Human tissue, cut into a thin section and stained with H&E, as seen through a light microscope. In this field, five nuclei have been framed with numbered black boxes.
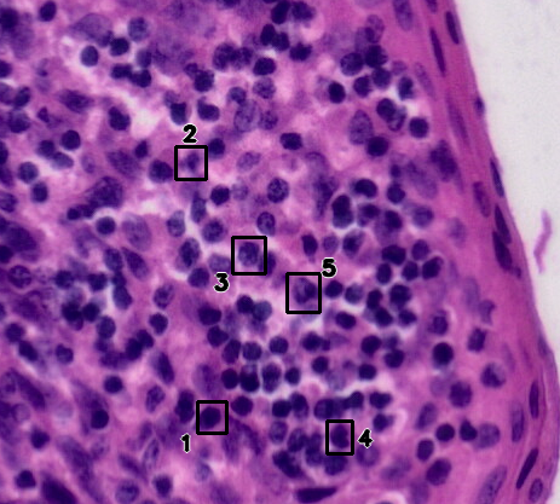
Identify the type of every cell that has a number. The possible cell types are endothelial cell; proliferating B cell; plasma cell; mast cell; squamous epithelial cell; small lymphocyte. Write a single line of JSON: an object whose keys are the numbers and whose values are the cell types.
{"1": "squamous epithelial cell", "2": "squamous epithelial cell", "3": "plasma cell", "4": "plasma cell", "5": "plasma cell"}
